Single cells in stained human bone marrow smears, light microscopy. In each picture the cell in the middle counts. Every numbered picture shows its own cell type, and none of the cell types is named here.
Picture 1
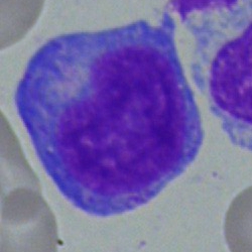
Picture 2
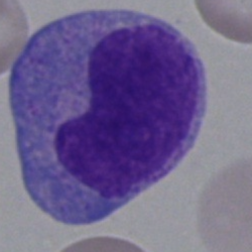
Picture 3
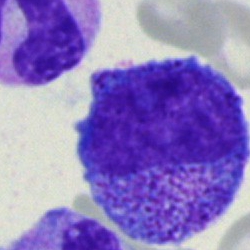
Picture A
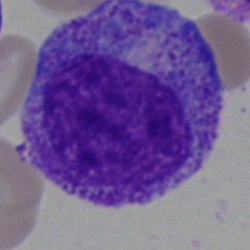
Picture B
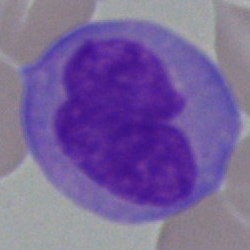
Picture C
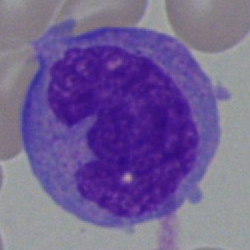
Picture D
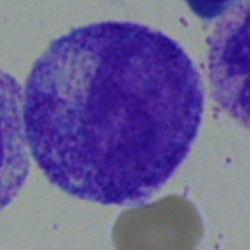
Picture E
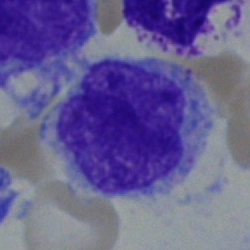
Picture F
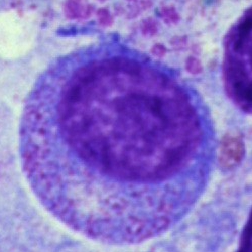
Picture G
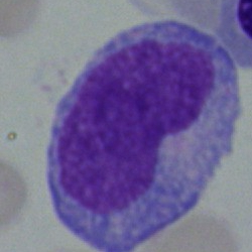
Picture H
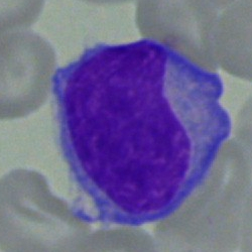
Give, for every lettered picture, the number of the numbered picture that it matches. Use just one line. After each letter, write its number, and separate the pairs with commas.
A 3, B 2, C 2, D 3, E 2, F 3, G 2, H 1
